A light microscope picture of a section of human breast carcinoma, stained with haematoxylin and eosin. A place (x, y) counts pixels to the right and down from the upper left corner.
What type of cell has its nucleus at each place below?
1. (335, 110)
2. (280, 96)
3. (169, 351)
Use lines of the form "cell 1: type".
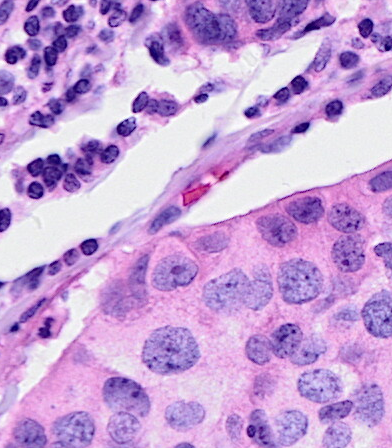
cell 1: lymphocyte
cell 2: lymphocyte
cell 3: carcinoma cell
